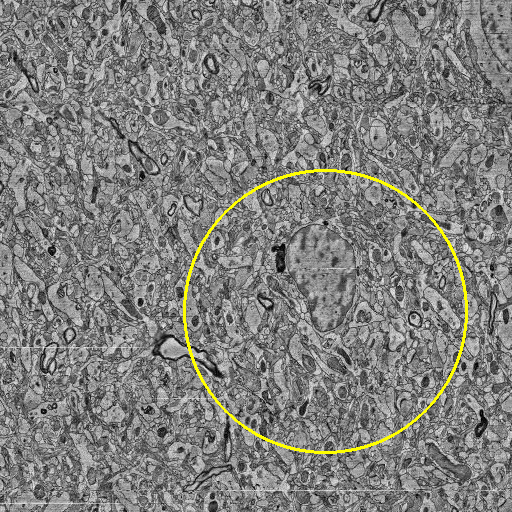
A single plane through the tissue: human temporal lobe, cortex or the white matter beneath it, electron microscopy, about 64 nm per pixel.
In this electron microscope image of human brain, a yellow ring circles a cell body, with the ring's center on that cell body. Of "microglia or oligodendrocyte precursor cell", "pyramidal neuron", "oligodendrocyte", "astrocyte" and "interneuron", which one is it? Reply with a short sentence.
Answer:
It is a microglial cell or oligodendrocyte precursor cell at the center of the ring.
